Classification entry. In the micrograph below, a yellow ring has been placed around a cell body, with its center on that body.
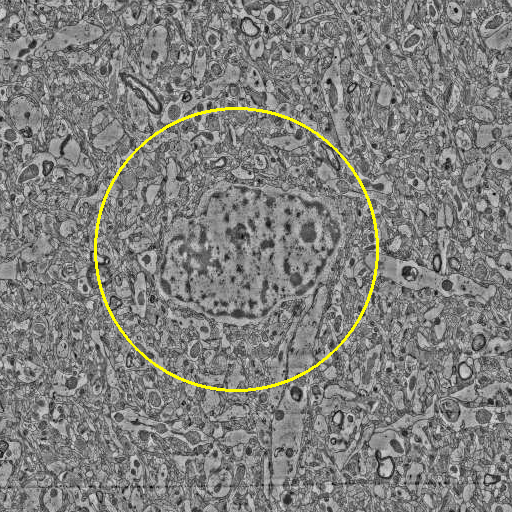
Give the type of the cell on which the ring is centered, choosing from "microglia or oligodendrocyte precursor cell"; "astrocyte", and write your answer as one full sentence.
The cell body at the center of the yellow ring belongs to a microglial cell or oligodendrocyte precursor cell.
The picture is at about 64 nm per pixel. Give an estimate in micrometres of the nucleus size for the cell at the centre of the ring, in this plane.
The nucleus is approximately 10 micrometers long by 8 micrometers wide in this plane.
